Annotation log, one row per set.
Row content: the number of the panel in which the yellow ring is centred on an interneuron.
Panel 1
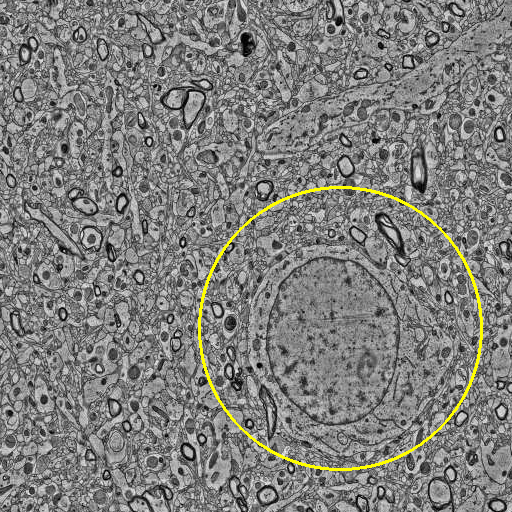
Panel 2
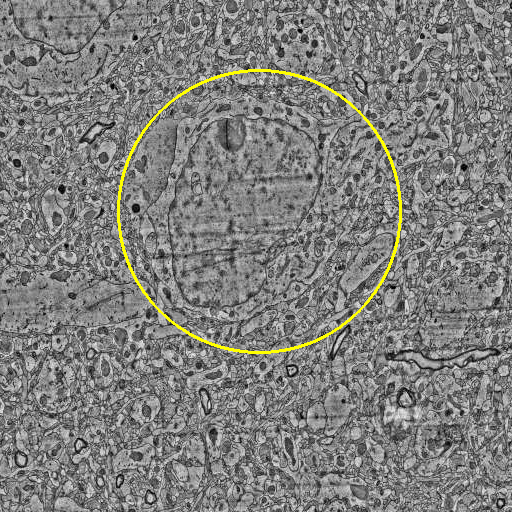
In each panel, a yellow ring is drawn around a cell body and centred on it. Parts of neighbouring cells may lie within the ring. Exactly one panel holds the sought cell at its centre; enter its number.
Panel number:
2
